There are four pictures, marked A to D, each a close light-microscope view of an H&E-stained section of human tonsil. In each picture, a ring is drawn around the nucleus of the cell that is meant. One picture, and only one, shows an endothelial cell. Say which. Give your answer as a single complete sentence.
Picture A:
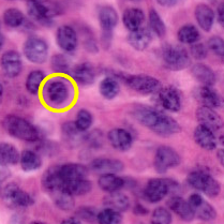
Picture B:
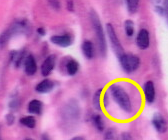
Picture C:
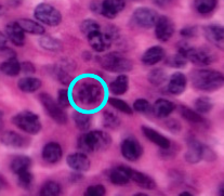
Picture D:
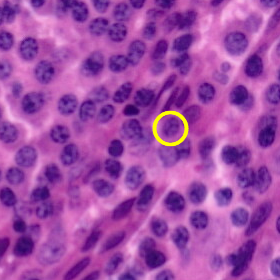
The picture with the endothelial cell is B.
